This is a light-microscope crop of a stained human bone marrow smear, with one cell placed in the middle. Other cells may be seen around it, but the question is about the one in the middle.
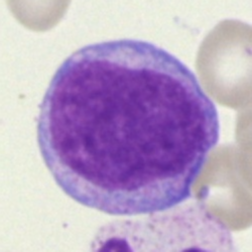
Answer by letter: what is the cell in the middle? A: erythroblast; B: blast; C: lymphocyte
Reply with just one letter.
B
